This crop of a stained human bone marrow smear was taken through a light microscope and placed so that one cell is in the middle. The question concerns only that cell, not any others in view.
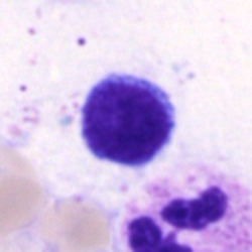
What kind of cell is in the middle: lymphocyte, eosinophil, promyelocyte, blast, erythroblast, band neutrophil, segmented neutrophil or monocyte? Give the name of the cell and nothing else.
lymphocyte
